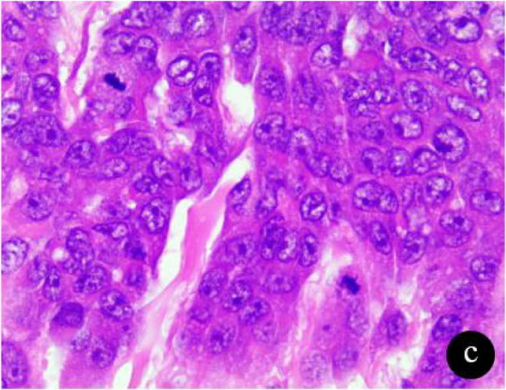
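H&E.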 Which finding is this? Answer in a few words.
Mitosis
